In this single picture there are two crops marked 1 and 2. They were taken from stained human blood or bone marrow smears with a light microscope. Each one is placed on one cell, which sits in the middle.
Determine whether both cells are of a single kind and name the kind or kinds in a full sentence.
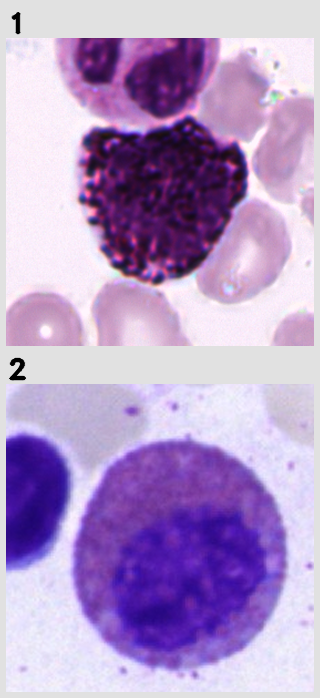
No, whereas crop 1 shows a basophil, crop 2 shows an eosinophil.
